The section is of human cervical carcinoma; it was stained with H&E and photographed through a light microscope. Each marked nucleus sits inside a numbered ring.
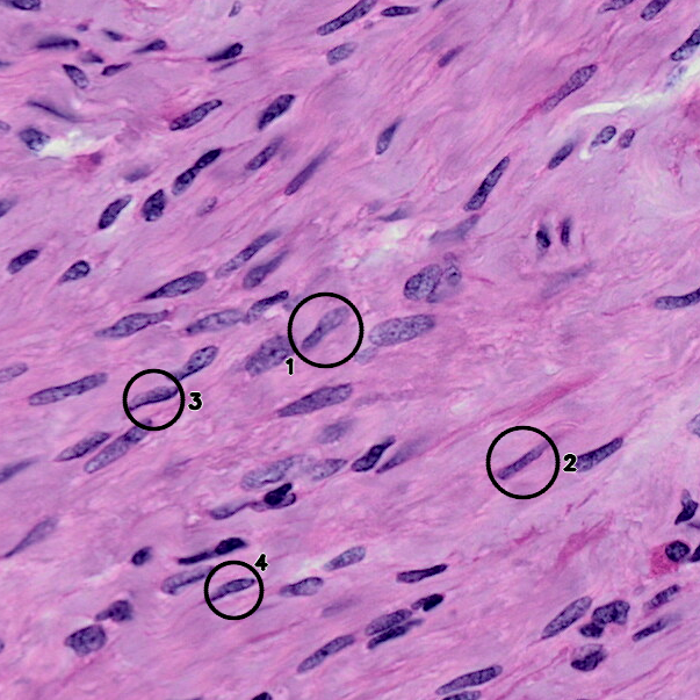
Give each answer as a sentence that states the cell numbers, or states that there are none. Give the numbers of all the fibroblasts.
Cells that were given the numbers 1, 3 and 4 are fibroblasts.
